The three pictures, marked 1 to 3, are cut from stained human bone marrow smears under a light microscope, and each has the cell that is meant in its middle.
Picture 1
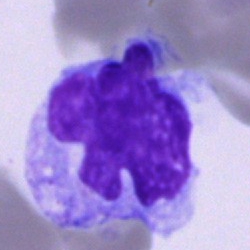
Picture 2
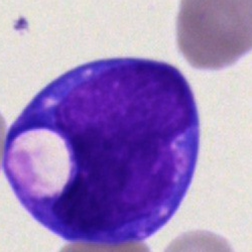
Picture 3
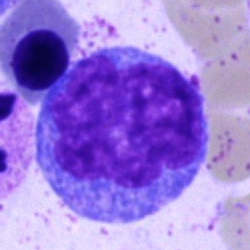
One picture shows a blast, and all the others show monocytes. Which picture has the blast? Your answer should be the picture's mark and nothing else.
2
